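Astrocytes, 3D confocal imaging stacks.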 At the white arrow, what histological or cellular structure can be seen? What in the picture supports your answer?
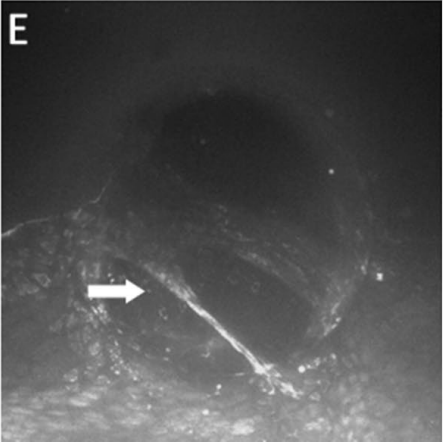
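A bright diagonal strand of cells runs across a dark opening. The white arrow points at the strand. The answer: cell masses crossing the hole to the opposite wall.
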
